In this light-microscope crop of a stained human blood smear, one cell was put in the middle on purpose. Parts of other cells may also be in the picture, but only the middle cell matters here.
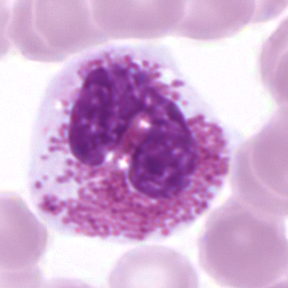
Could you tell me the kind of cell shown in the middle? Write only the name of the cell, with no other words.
eosinophil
